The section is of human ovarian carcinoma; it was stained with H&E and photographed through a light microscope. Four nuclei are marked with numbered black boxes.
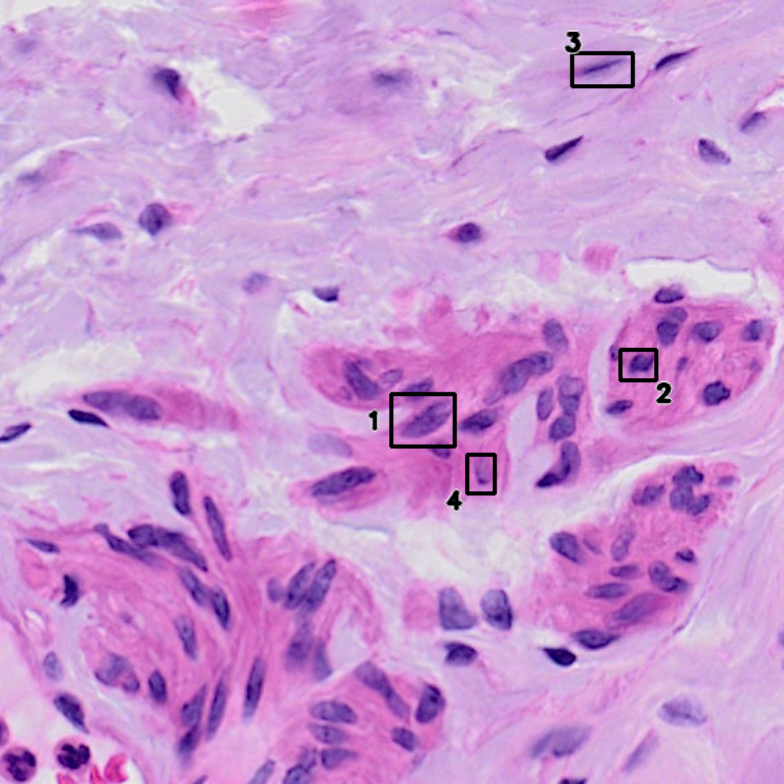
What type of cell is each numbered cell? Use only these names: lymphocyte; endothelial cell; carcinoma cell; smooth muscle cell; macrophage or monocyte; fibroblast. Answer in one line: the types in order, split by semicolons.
smooth muscle cell; smooth muscle cell; fibroblast; smooth muscle cell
